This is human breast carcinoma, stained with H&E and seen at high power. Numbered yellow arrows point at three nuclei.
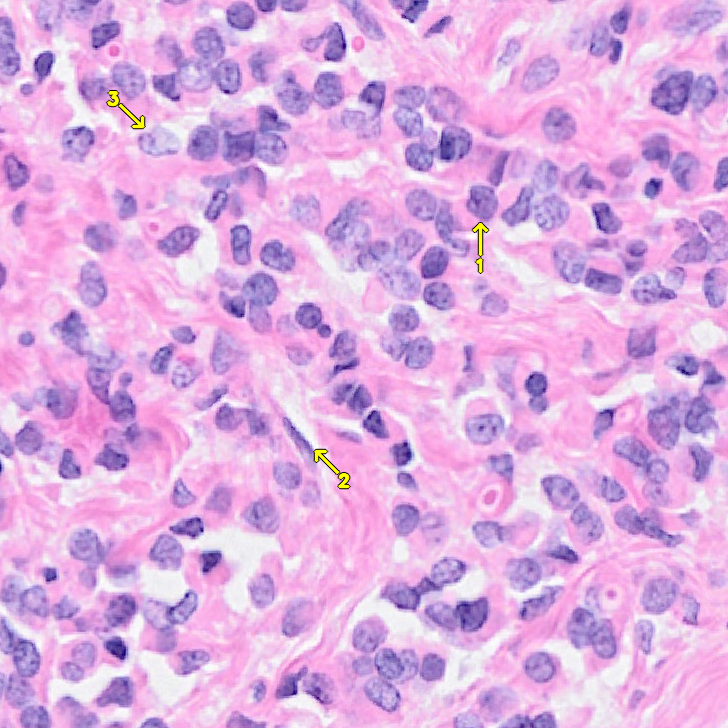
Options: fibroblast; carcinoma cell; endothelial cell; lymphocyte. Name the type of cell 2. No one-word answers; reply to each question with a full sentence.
The mark numbered 2 indicates the nucleus of a fibroblast.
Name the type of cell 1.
Number 1 is placed on a carcinoma cell here.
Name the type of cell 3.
That cell with number 3 is a carcinoma cell.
